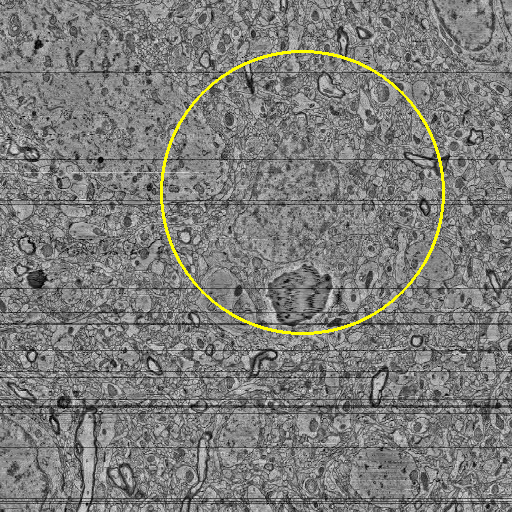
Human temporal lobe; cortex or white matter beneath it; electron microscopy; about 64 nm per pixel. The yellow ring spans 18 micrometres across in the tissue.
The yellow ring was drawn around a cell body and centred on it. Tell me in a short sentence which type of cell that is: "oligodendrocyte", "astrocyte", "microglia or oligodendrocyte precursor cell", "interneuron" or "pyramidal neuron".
The cell at the ring's centre is an interneuron.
